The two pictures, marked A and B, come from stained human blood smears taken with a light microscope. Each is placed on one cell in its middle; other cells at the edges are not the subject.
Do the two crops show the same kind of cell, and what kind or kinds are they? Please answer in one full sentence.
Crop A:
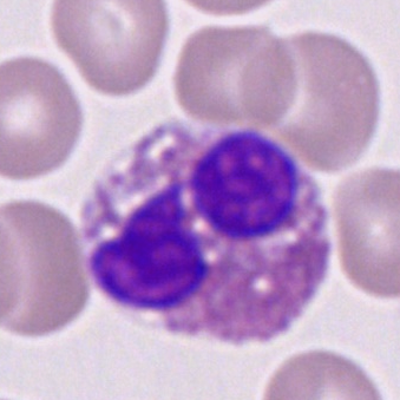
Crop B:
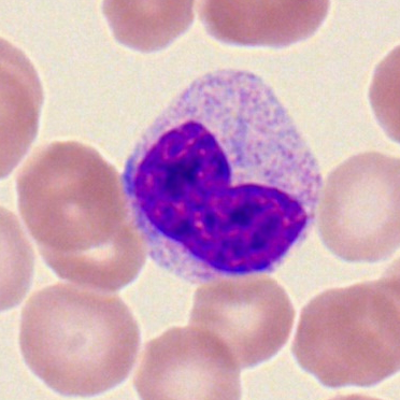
No, a band neutrophil is the cell in crop B, and crop A contains an eosinophil.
